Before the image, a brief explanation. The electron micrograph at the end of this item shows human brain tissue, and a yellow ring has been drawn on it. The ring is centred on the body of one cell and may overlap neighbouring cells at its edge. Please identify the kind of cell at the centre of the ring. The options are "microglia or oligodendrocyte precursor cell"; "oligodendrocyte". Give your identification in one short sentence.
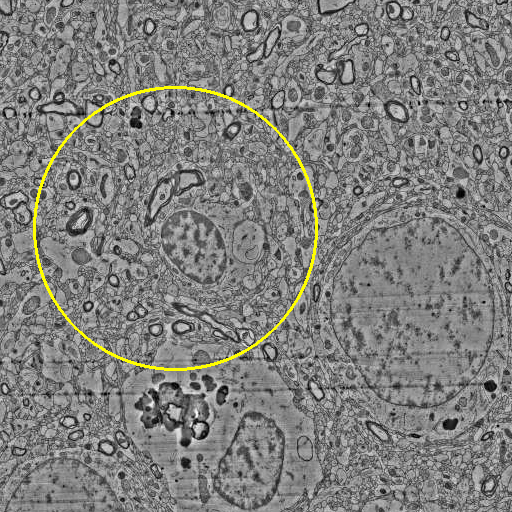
The ring has been placed around a microglial cell or oligodendrocyte precursor cell.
